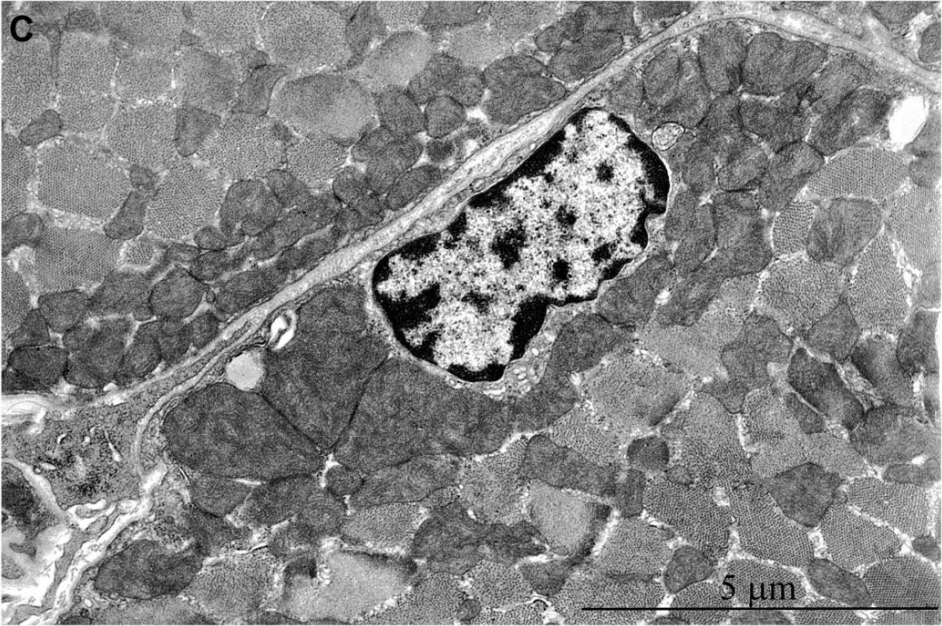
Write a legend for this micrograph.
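Skeletal muscle fibres are seen in cross section at high magnification. Myofibrils appear as pale polygonal fields filled with a fine dotted pattern of transversely cut filaments. Numerous dark, densely packed mitochondria with closely stacked cristae fill the spaces between the myofibrils and form a large mass around a nucleus. The nucleus is elongated and irregular in outline, with a dark rim and clumps of dense chromatin. A thin band of interstitial tissue with a narrow cell profile runs diagonally across the field between adjacent fibres.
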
